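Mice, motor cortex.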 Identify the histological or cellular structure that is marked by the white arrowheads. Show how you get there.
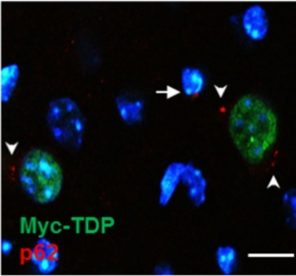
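The arrowheads point to tiny red dots. The marked dots show no green. The dots lie outside the large green-filled nuclei. The answer: inclusions.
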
